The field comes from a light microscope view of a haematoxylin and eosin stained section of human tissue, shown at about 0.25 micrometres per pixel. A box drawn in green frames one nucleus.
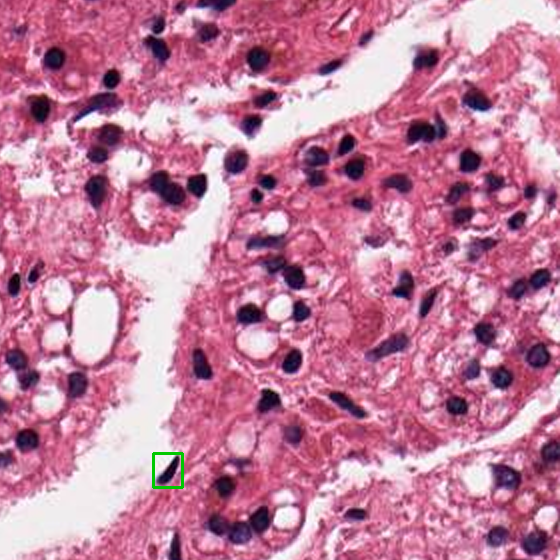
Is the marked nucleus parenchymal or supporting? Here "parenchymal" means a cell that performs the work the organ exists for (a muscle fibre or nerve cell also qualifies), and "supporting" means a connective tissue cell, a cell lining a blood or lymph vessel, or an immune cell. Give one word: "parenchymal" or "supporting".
supporting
